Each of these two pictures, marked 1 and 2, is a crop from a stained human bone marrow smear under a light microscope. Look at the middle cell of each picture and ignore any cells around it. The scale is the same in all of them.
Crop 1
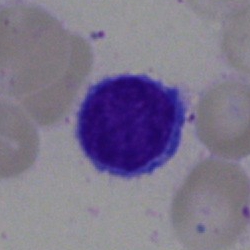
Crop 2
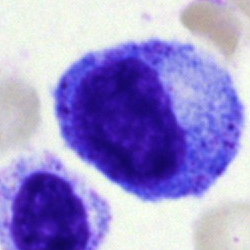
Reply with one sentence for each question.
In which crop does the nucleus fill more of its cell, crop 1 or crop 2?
Of the two, the nucleus in crop 1 makes up the greater part of its cell.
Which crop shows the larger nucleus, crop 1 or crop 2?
The nucleus in crop 2 is larger, with about 1.5 times the area of the one in crop 1.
